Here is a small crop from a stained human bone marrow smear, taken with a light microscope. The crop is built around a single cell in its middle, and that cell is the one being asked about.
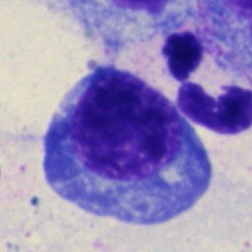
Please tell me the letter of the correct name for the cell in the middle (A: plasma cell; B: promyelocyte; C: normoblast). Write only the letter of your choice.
A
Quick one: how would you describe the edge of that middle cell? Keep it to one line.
Thanks for asking; the cell edge is smooth and has no projections.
